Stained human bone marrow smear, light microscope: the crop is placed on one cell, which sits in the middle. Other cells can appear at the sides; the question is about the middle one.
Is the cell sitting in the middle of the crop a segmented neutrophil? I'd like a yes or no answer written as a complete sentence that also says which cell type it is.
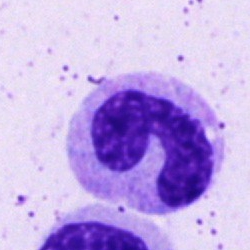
No, the cell in the centre is to be called a band neutrophil instead of a segmented neutrophil.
